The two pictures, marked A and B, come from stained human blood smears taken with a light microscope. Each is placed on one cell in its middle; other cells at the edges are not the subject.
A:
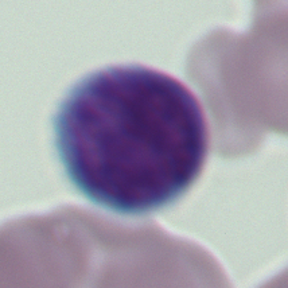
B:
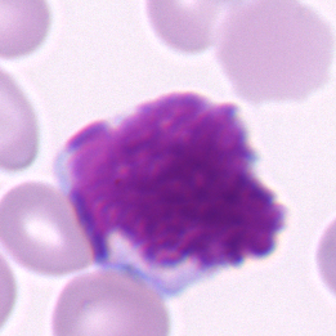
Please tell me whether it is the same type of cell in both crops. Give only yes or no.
no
